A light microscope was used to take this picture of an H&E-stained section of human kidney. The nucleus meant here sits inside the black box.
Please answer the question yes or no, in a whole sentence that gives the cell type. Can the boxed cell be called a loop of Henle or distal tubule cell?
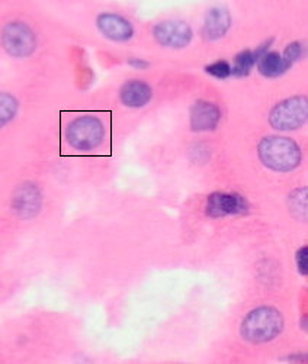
No, scored properly, the boxed cell is a proximal tubule cell rather than a loop of Henle or distal tubule cell.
